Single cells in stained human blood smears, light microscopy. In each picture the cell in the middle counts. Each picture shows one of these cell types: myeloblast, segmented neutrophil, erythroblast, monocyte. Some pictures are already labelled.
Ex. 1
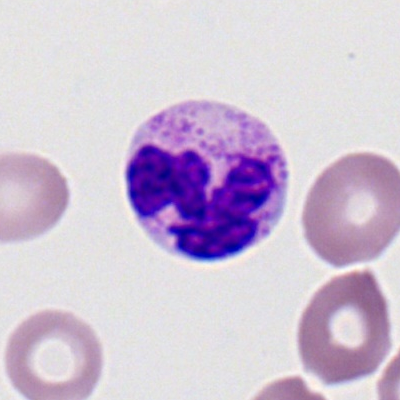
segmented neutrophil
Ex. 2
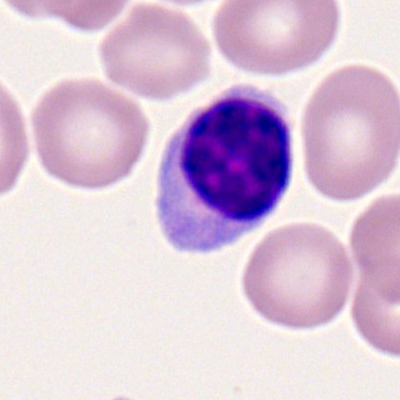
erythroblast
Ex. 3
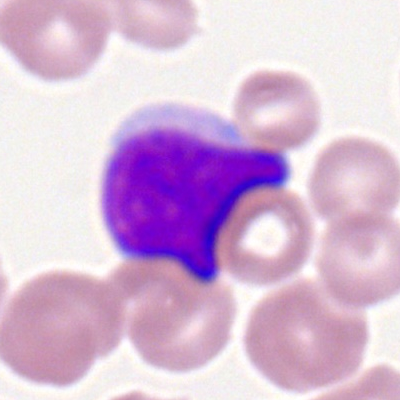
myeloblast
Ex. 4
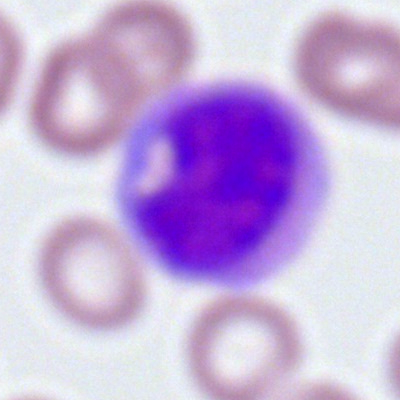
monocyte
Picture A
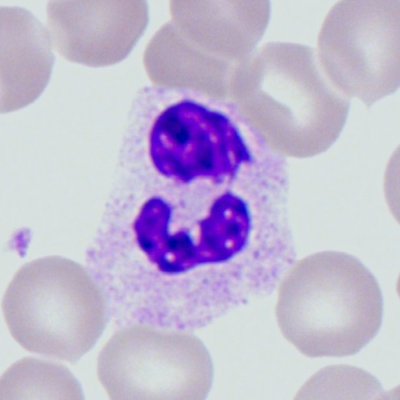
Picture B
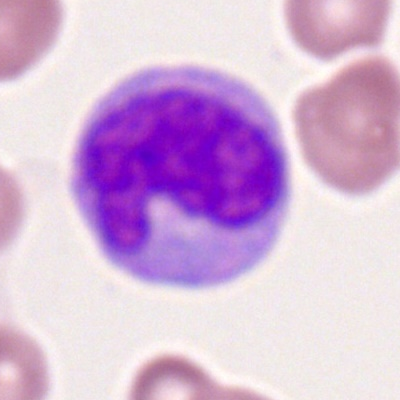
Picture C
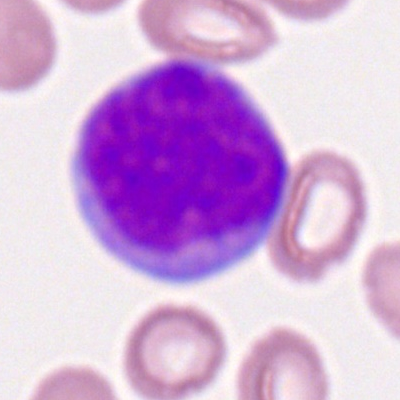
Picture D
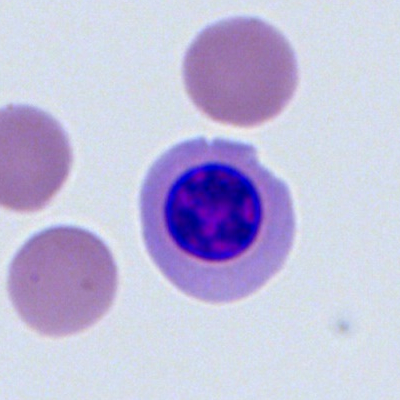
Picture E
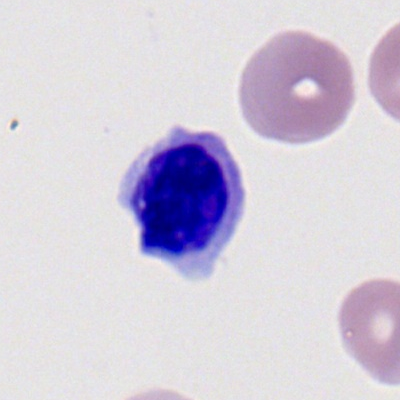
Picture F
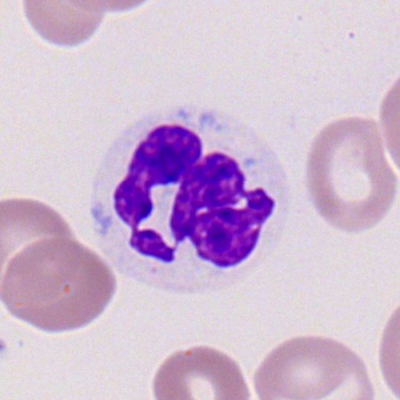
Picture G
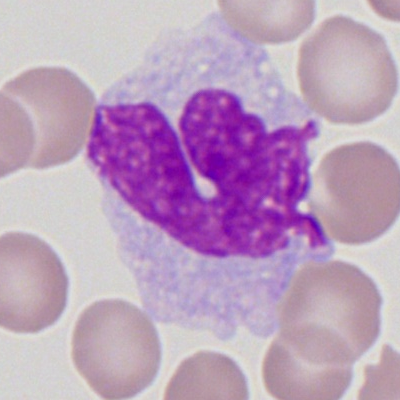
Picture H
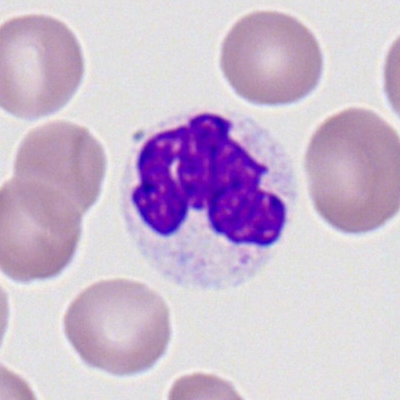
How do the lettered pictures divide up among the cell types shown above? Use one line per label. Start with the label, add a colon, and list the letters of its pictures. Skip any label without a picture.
myeloblast: C
segmented neutrophil: A, F, H
erythroblast: D, E
monocyte: B, G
